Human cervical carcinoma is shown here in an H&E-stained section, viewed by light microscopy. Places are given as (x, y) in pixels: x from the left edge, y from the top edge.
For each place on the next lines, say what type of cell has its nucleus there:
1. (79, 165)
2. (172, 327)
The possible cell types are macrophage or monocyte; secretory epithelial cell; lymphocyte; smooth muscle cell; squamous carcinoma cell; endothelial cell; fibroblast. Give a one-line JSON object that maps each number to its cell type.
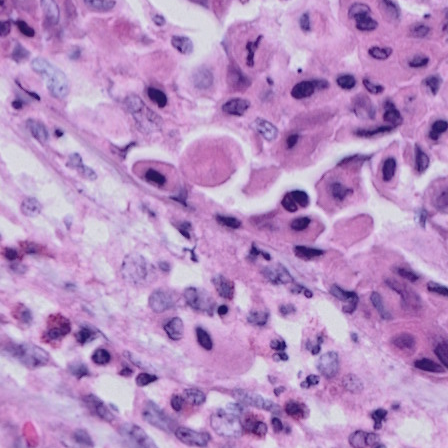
{"1": "fibroblast", "2": "macrophage or monocyte"}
